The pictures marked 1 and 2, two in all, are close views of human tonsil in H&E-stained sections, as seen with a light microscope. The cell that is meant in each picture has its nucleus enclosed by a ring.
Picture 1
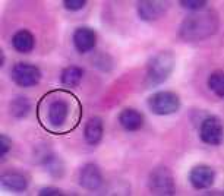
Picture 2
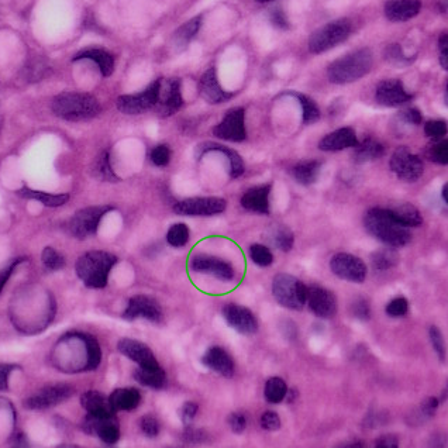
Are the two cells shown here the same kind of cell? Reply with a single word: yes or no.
no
